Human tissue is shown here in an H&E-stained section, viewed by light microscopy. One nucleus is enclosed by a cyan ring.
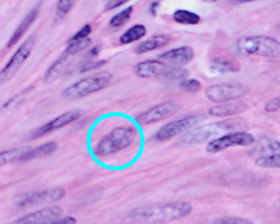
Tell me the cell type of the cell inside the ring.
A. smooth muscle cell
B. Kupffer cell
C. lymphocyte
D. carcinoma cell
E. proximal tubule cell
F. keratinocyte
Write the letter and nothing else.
A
